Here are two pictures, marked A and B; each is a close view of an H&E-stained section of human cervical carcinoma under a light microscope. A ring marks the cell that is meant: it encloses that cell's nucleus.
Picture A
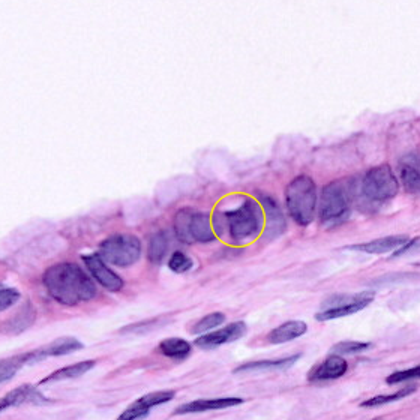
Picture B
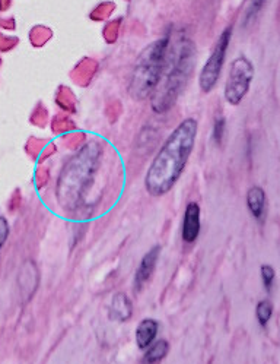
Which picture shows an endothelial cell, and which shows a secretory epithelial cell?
A: secretory epithelial cell
B: endothelial cell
